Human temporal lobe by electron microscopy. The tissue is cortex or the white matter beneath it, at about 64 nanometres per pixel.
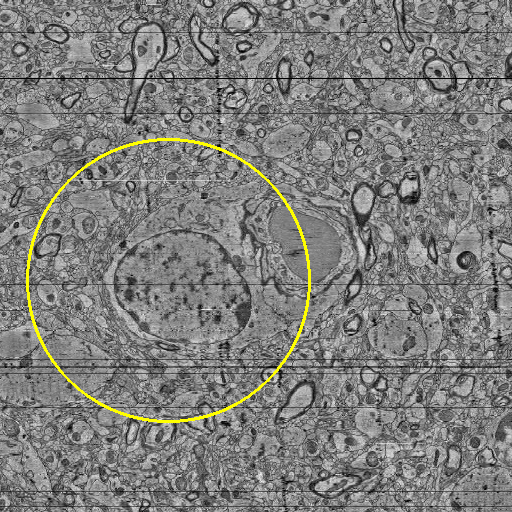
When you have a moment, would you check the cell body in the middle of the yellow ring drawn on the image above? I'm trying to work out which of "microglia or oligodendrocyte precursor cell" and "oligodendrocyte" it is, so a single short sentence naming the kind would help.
This cell body belongs to a microglial cell or oligodendrocyte precursor cell.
